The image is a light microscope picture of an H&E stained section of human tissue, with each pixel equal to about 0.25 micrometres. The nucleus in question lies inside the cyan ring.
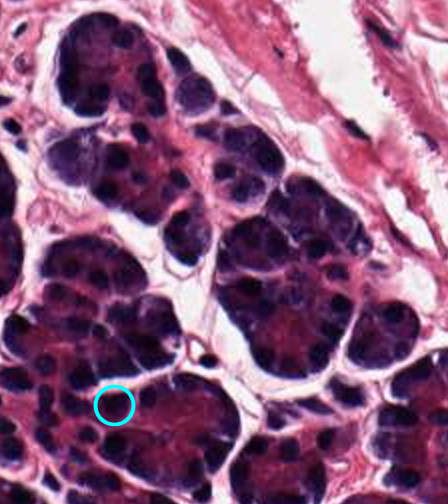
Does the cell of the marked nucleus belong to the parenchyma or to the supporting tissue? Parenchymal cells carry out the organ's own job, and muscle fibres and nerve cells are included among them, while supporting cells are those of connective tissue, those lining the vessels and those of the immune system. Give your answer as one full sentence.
In the section shown, the marked nucleus belongs to a parenchymal cell, namely a pancreatic acinar cell.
